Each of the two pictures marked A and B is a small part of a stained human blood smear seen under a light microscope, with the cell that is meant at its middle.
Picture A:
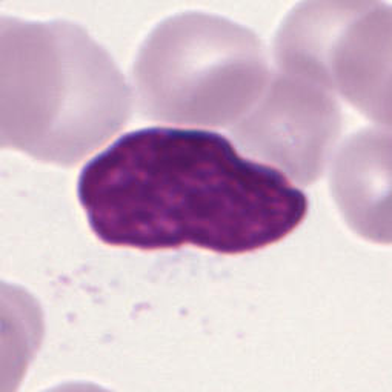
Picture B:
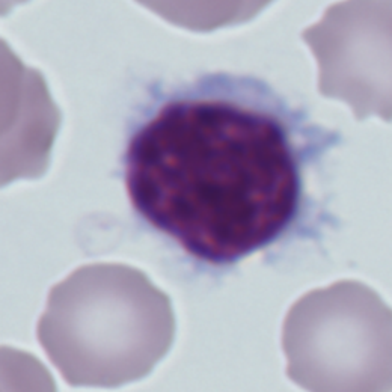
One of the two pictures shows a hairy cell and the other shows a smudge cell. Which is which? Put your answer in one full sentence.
Picture A shows a smudge cell and picture B shows a hairy cell.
